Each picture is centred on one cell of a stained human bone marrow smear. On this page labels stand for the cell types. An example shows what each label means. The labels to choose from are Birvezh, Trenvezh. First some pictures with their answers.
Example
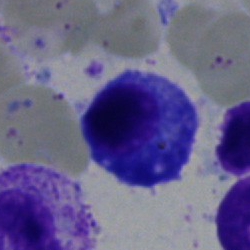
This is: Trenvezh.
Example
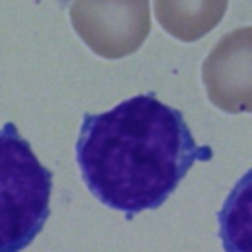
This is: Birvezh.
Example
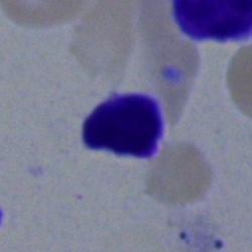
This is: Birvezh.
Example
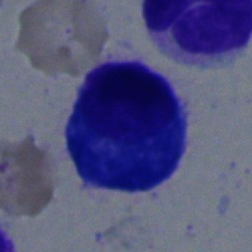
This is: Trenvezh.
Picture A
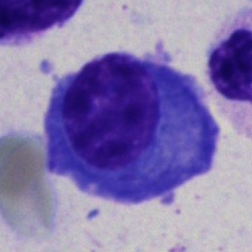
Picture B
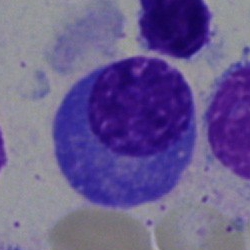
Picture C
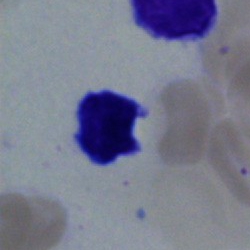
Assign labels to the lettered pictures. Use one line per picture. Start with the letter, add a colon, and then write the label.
A: Trenvezh.
B: Trenvezh.
C: Birvezh.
